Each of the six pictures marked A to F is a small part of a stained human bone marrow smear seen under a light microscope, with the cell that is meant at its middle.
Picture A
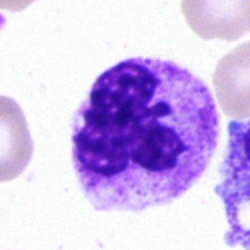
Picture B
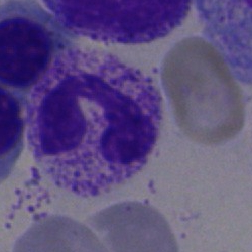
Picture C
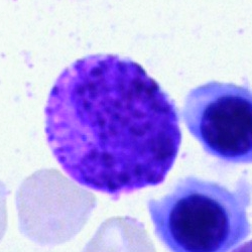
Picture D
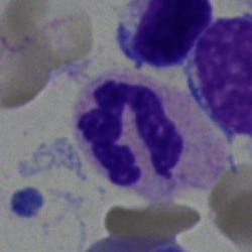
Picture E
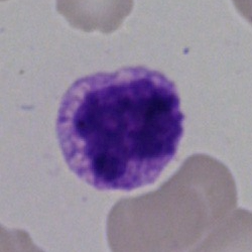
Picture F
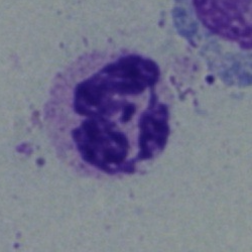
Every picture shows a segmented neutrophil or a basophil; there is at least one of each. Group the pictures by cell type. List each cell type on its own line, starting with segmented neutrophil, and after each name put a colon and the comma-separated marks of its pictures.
segmented neutrophil: A, B, D, F
basophil: C, E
